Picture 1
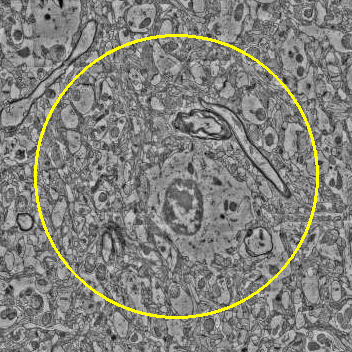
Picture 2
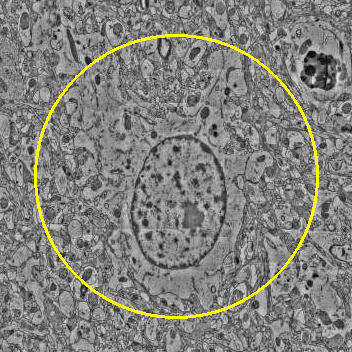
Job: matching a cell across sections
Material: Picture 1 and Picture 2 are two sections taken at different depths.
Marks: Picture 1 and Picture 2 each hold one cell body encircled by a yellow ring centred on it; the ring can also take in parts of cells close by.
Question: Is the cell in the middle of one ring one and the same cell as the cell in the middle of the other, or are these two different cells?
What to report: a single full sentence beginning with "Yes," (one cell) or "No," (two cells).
Yes, both rings are placed on a single cell.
